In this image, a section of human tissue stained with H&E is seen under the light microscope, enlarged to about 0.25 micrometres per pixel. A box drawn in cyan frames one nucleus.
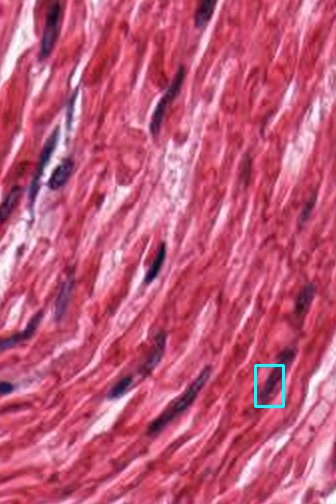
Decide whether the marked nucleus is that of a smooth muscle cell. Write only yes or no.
yes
